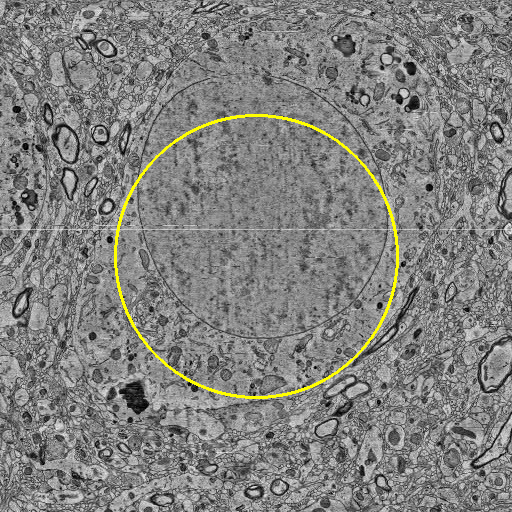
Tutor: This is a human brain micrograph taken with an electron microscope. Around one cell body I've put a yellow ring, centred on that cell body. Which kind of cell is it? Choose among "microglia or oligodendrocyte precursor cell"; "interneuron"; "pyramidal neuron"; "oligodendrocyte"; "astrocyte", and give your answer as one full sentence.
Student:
Going by your list, the cell centred in the yellow ring is a pyramidal neuron.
